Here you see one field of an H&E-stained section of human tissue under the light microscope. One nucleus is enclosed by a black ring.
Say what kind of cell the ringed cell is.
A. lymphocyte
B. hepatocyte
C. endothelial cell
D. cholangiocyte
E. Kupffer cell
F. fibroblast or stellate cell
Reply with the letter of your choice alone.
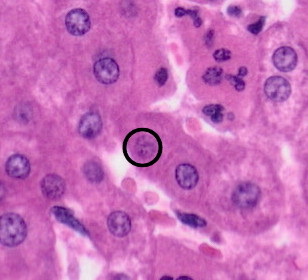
B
